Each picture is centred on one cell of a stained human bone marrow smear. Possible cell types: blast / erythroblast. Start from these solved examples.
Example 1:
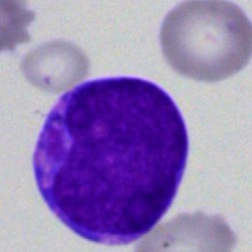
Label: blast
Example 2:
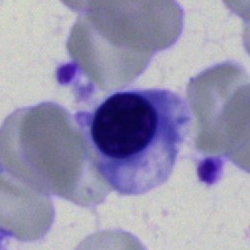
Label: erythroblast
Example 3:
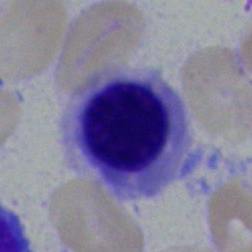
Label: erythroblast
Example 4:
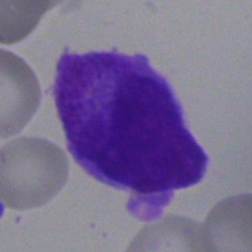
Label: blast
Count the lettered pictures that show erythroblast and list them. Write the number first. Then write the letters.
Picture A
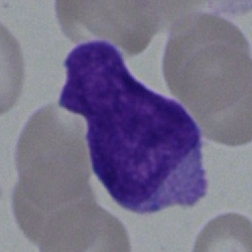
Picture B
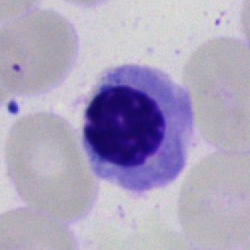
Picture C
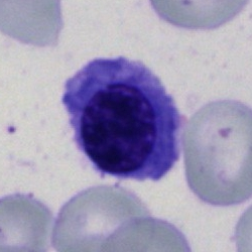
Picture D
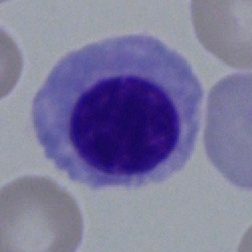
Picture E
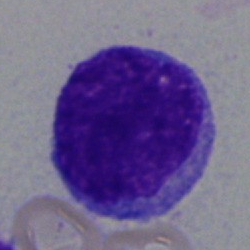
3: B, C, D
